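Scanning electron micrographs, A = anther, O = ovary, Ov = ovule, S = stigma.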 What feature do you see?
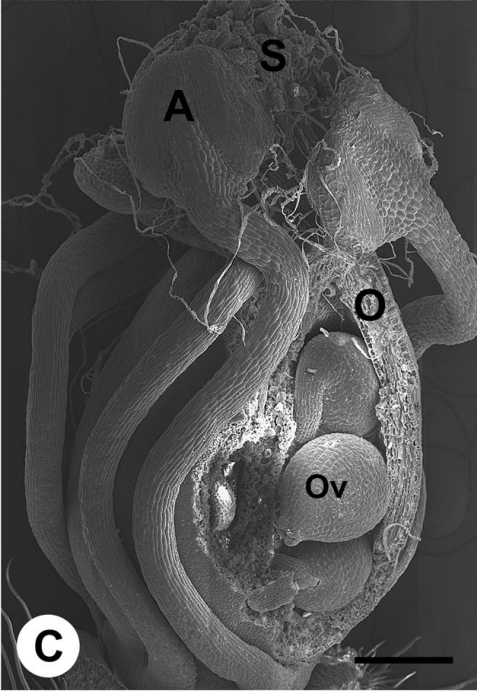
pollen tubes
